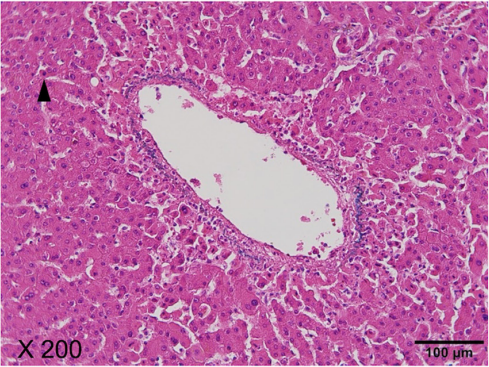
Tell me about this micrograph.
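This is liver parenchyma around a central vein, with plates of hepatocytes radiating from the large, empty, oval vessel in the centre. The hepatocytes are polygonal with pink cytoplasm and round central nuclei, and the plates are separated by narrow, slightly widened pale sinusoids. The vein wall is thin, with a few bluish nuclei in the surrounding connective tissue.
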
